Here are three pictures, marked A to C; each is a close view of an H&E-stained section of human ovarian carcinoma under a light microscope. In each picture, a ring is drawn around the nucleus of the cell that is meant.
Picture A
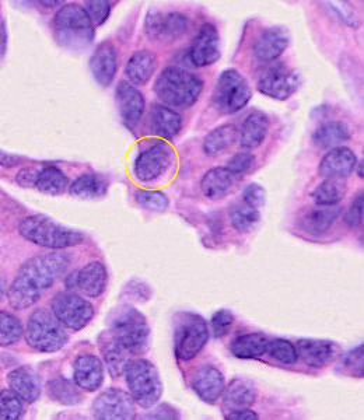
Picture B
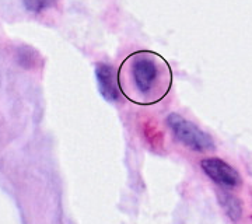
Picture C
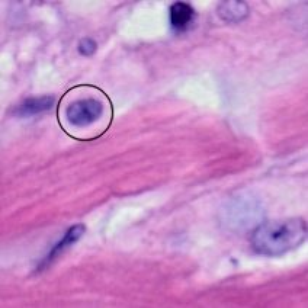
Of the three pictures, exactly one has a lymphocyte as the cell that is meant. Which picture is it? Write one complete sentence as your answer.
The lymphocyte is the one in picture C.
